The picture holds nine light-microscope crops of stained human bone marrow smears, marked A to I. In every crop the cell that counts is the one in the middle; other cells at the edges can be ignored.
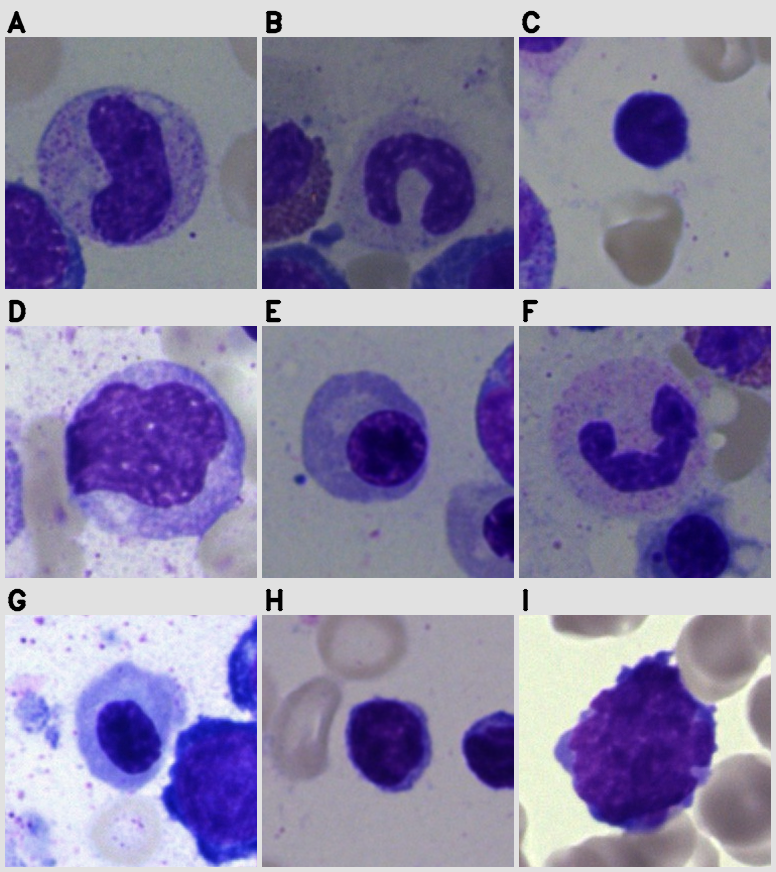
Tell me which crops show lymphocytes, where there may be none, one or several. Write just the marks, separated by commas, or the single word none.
C, H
